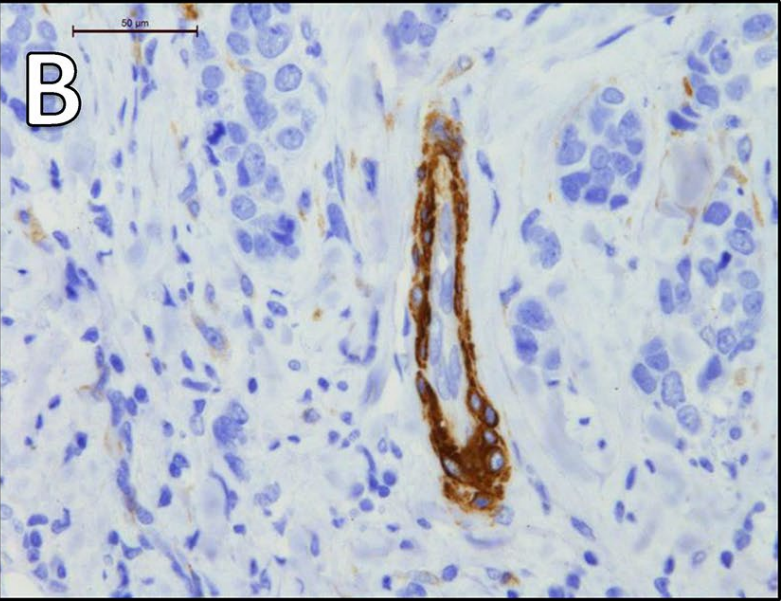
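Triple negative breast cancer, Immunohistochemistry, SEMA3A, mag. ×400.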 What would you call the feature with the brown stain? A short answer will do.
Tumor-associated vessels.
